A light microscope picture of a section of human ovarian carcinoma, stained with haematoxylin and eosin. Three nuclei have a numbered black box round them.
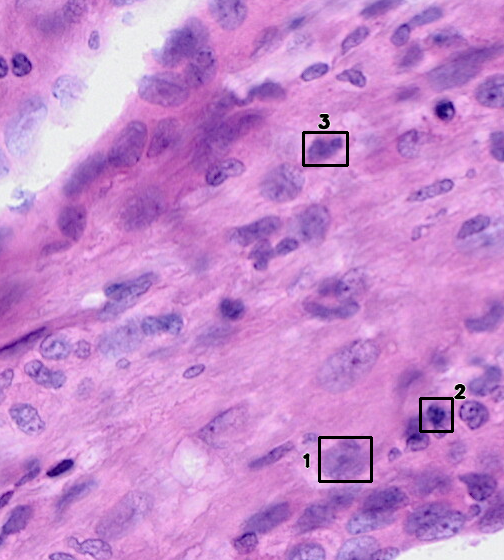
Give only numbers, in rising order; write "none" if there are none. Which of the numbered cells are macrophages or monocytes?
3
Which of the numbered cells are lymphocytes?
2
